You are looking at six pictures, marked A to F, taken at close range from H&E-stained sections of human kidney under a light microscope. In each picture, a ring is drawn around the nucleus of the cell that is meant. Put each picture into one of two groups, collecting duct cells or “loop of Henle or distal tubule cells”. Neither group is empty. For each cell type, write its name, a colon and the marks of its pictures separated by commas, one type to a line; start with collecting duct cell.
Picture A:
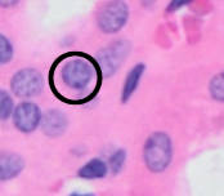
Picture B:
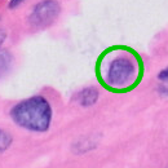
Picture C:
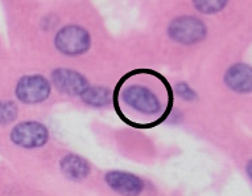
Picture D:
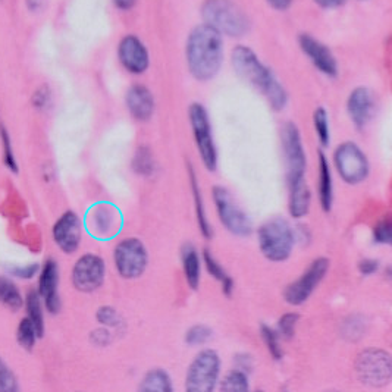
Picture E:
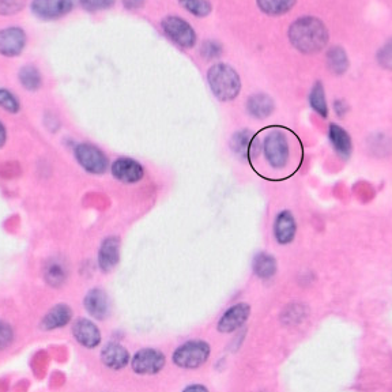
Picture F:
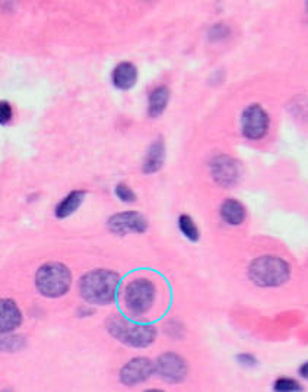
collecting duct cell: A, C, E, F
loop of Henle or distal tubule cell: B, D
